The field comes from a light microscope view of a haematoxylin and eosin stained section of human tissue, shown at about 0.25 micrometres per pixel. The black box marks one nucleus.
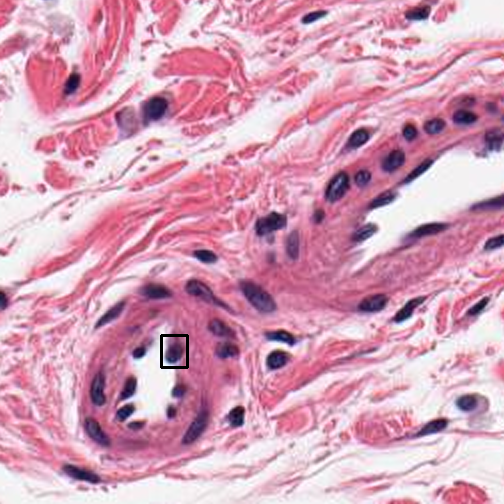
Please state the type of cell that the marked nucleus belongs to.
endothelial cell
